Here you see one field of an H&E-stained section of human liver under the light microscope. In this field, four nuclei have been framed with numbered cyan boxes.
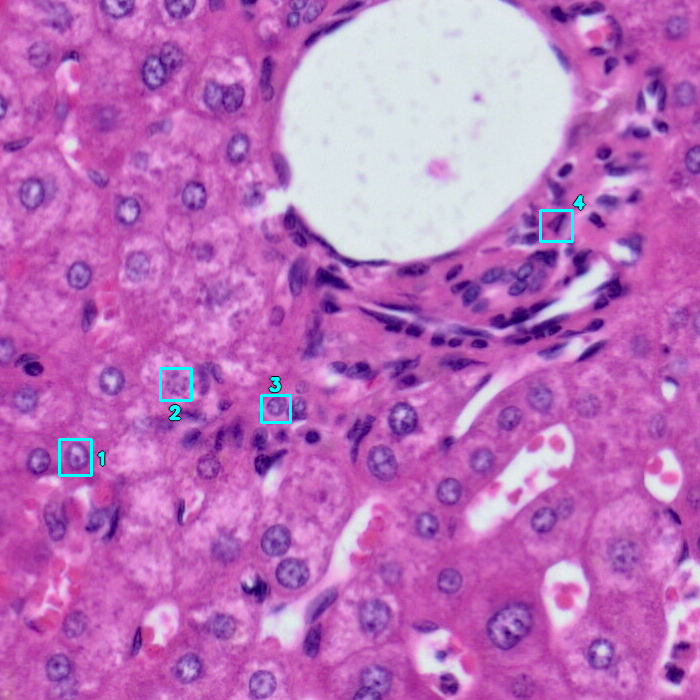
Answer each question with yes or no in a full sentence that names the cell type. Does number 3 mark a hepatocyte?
No, the nucleus numbered 3 belongs to a cholangiocyte, not a hepatocyte.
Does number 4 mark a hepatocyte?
No, cell 4 is a fibroblast or stellate cell, not a hepatocyte.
